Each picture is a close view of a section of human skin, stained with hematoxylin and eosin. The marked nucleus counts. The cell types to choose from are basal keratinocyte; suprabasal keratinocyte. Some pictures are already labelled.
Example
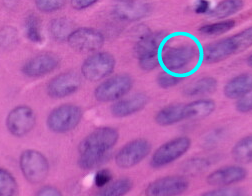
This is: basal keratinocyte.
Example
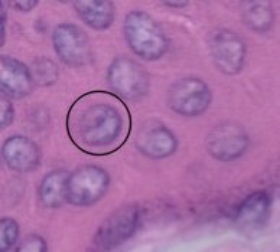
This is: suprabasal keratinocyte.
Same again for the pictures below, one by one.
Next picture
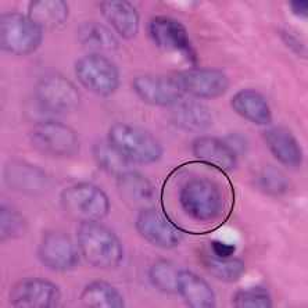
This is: basal keratinocyte.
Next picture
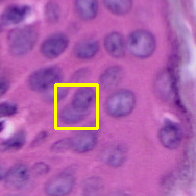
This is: suprabasal keratinocyte.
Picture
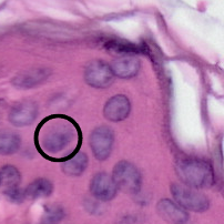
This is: suprabasal keratinocyte.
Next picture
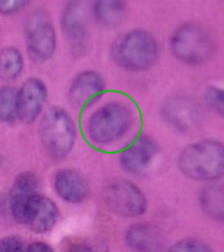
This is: suprabasal keratinocyte.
